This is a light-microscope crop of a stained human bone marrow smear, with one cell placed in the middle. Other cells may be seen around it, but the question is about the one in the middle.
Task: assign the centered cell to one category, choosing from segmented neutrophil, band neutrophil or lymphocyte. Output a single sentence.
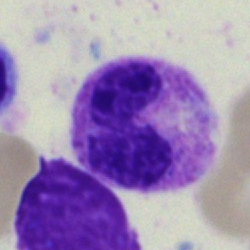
The cell positioned in the middle of the field is a segmented neutrophil.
